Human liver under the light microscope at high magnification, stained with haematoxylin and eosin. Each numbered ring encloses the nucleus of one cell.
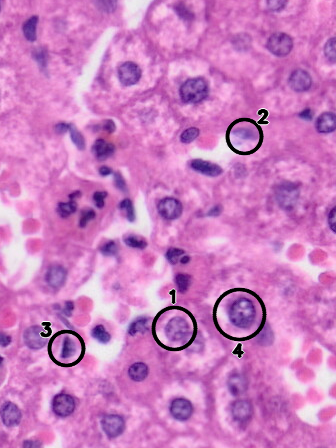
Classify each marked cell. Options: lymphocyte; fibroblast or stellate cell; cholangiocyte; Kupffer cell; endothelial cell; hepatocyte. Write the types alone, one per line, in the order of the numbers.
hepatocyte
endothelial cell
fibroblast or stellate cell
hepatocyte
